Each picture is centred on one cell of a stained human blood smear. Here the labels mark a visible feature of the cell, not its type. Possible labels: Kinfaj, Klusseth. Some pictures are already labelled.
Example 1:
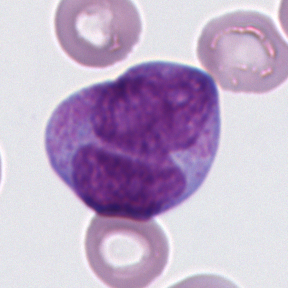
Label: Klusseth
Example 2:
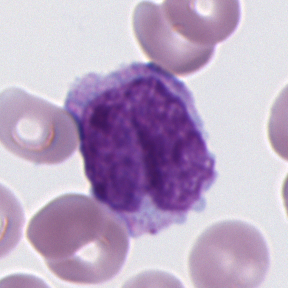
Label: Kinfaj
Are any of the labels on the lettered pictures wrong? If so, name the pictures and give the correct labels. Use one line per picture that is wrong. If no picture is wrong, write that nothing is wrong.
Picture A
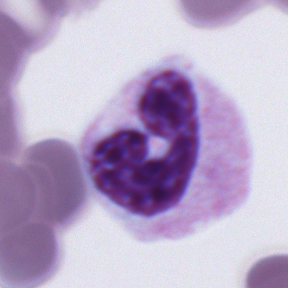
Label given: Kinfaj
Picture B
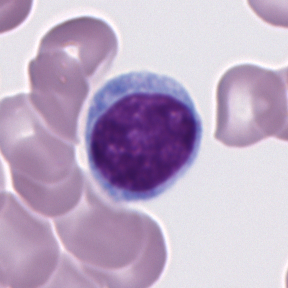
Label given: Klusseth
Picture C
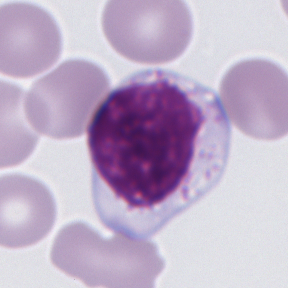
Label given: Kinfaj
A should be Klusseth, not Kinfaj
C should be Klusseth, not Kinfaj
